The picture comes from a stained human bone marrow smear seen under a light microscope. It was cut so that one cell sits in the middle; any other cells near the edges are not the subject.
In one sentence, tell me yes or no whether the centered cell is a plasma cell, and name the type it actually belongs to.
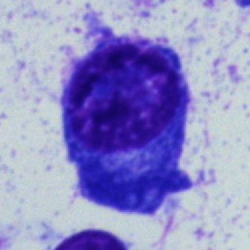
Yes, the cell at the centre is designated a plasma cell.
